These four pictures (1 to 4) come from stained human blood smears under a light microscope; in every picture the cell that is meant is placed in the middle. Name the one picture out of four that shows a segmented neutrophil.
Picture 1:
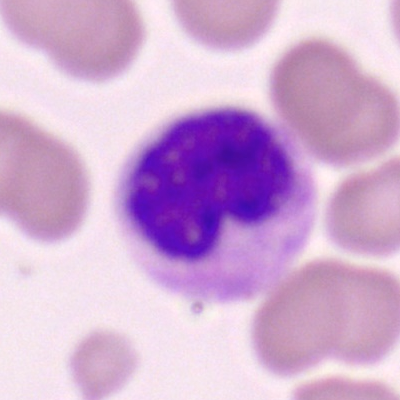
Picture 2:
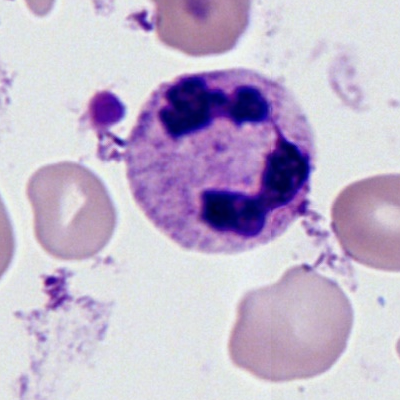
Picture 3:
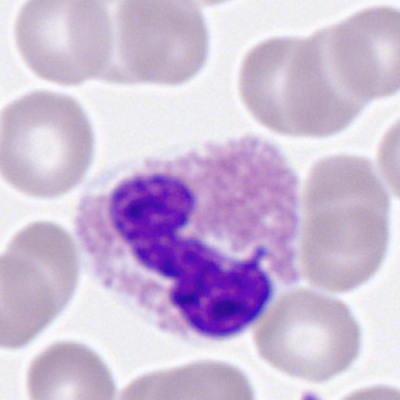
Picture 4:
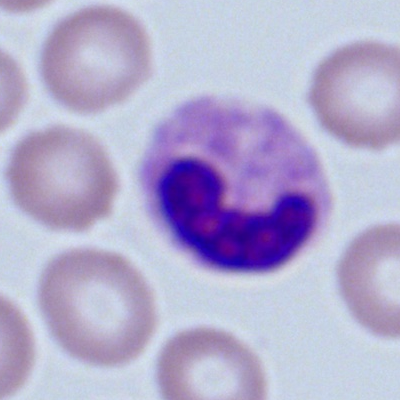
2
